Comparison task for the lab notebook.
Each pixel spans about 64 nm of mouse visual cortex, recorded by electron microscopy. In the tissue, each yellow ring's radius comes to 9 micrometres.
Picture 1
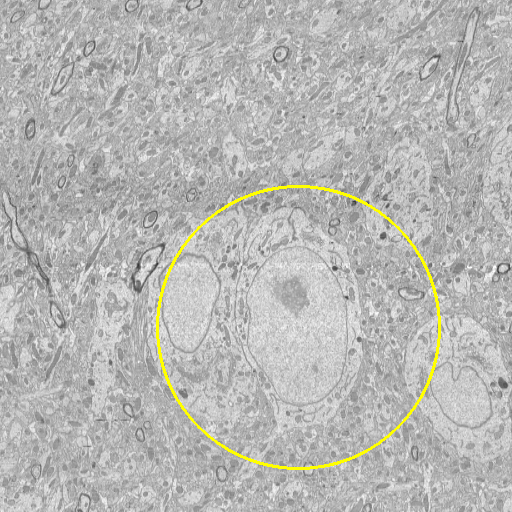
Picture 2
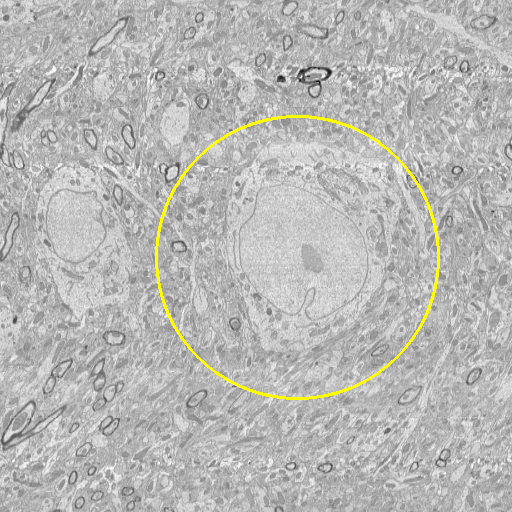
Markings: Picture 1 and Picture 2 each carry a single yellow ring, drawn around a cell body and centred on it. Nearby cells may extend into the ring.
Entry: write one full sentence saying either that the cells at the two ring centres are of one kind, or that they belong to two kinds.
The cells sitting at the ring centres in Picture 1 and Picture 2 belong to two kinds.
